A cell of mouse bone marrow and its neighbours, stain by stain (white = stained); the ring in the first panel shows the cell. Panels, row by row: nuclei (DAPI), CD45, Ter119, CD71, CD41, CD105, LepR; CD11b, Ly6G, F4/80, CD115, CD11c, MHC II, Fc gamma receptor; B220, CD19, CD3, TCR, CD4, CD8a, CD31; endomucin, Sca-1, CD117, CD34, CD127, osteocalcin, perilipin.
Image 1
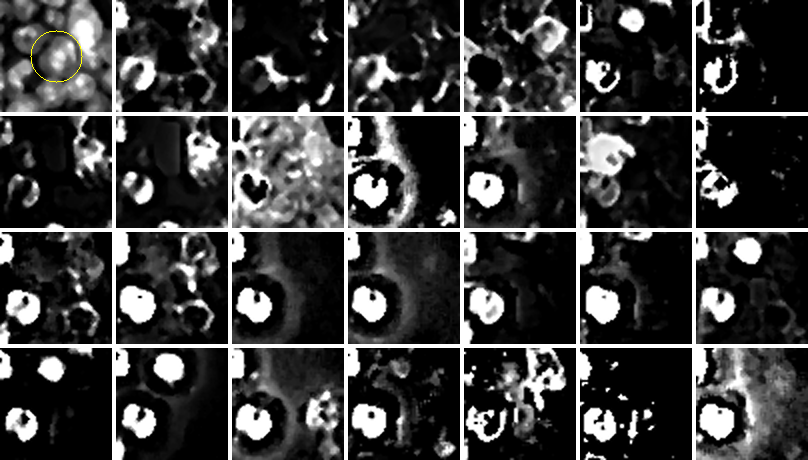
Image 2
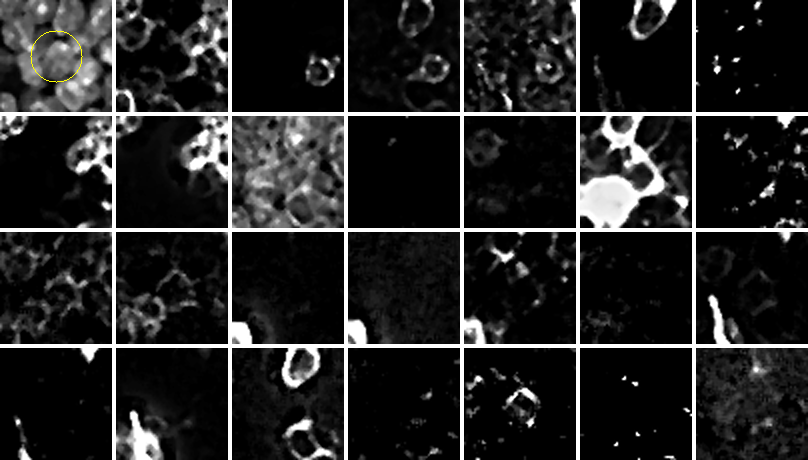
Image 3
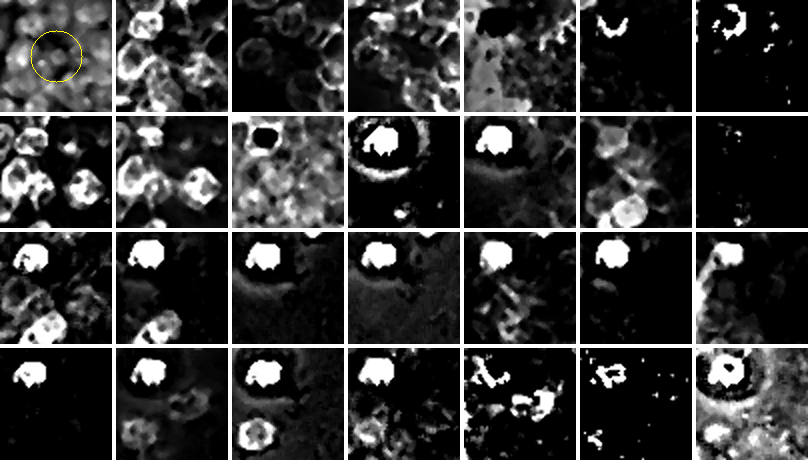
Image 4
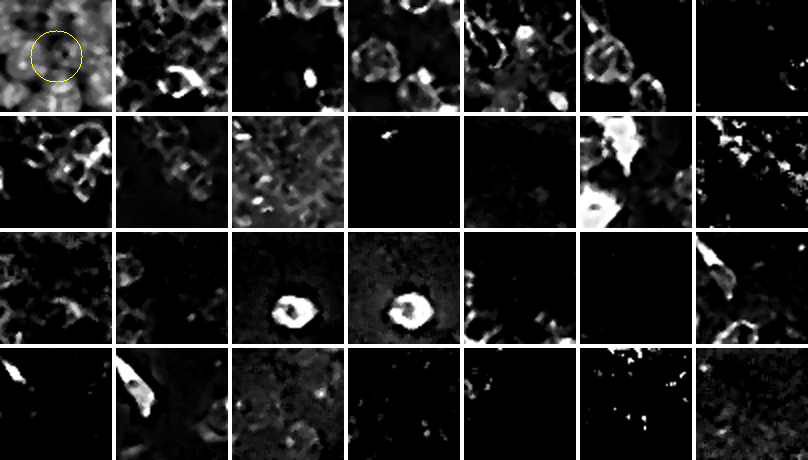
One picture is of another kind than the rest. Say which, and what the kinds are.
Picture 4 shows a neutrophil; the rest show common lymphoid progenitors.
